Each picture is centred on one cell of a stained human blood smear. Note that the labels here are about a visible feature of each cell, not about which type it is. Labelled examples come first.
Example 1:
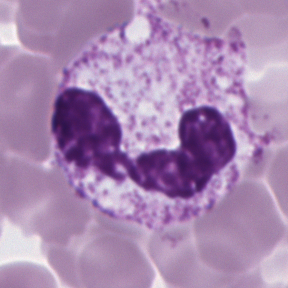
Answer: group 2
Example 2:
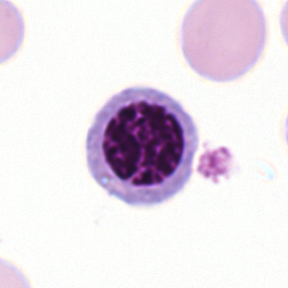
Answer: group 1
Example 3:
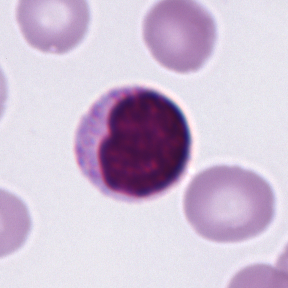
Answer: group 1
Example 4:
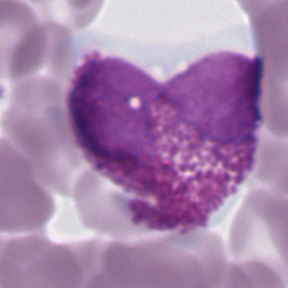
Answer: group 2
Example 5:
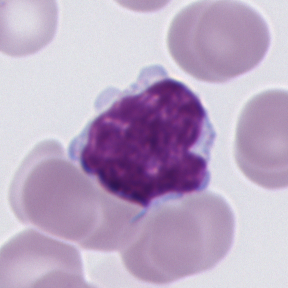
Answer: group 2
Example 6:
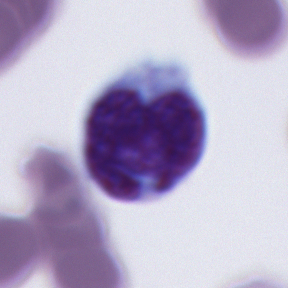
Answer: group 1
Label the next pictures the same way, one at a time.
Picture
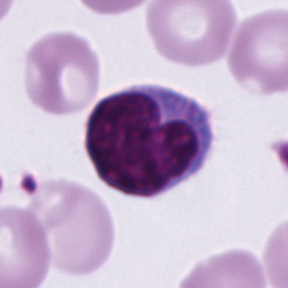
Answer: group 1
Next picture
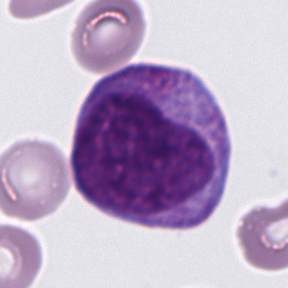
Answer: group 1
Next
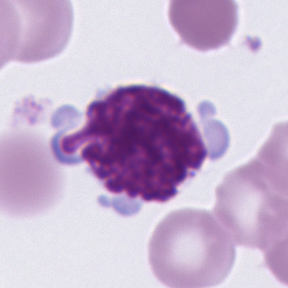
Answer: group 2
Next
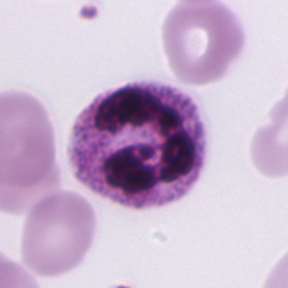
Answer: group 1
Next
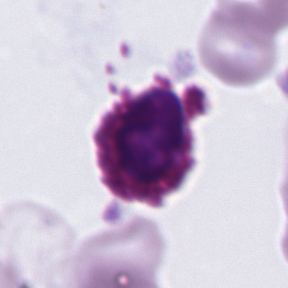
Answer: group 2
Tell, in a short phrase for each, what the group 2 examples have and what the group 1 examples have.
Seen in group 2: ragged outline or projections; seen in group 1: smooth outline.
